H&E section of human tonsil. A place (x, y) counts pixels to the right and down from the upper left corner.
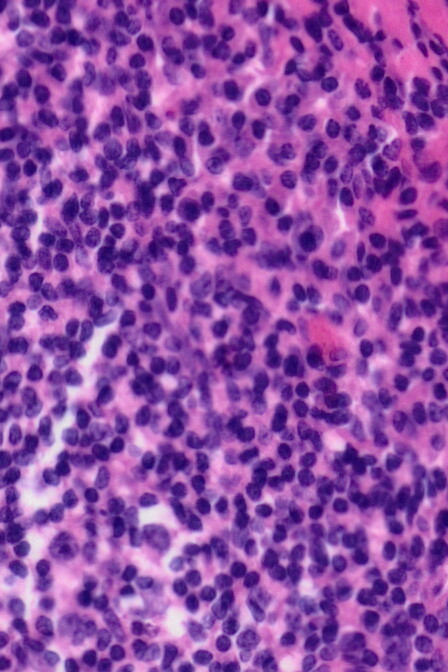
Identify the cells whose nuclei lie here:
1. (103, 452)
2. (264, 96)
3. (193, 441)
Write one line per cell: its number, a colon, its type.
1: small lymphocyte
2: plasma cell
3: small lymphocyte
